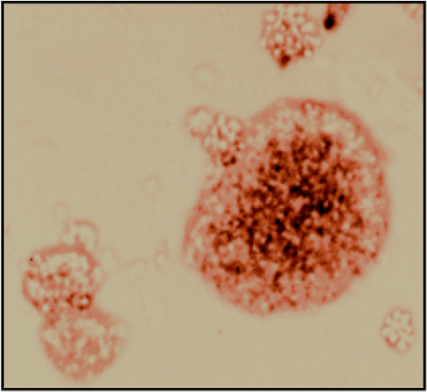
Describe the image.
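A large, roughly round cluster fills the centre of the field. Its core is crowded and dark reddish-brown, with cells packed too tightly to separate. Towards the rim the cells are looser and show as small, round, refractile bodies with pale centres, forming a paler border. Smaller satellite clusters of similar round cells lie at the lower left and at the upper edge, and a few isolated small groups sit nearby. The background medium is pale beige and shows no cell layer.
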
